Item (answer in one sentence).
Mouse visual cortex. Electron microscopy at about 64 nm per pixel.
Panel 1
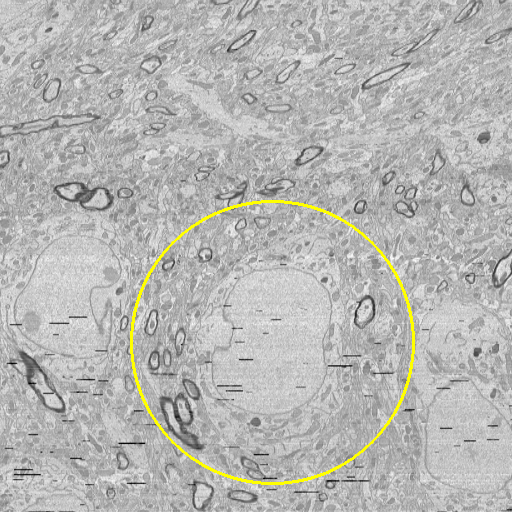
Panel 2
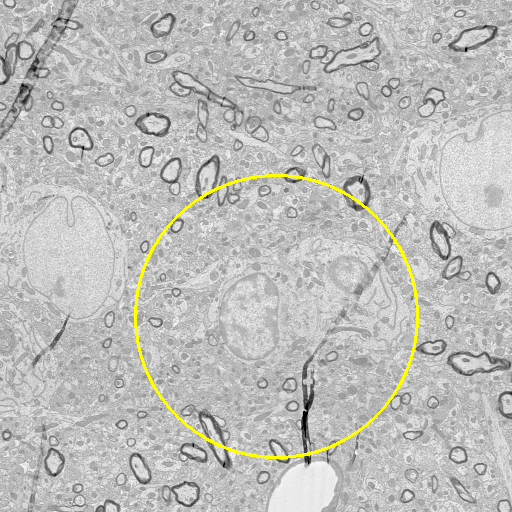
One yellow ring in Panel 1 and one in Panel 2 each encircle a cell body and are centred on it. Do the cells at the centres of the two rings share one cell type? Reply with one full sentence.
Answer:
No, Panel 1 and Panel 2 show cells of two types at the centres of their rings.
